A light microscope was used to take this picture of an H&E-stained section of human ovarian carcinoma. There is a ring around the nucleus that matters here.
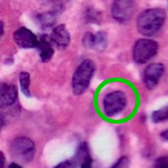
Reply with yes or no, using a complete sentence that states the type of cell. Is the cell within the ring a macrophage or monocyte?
Yes, calling the cell within the ring a macrophage or monocyte is correct.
